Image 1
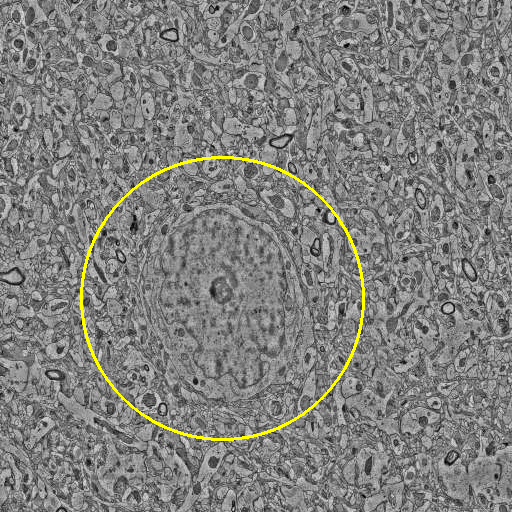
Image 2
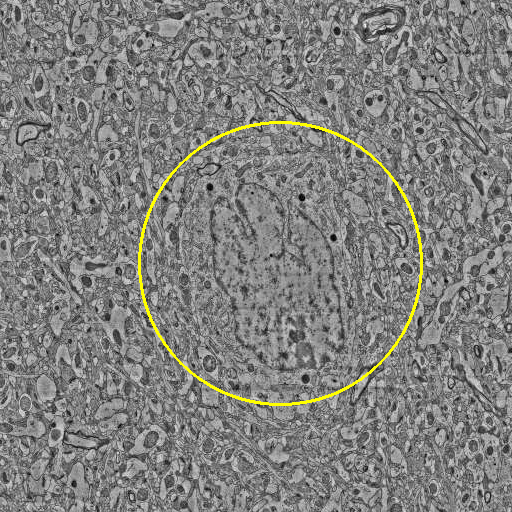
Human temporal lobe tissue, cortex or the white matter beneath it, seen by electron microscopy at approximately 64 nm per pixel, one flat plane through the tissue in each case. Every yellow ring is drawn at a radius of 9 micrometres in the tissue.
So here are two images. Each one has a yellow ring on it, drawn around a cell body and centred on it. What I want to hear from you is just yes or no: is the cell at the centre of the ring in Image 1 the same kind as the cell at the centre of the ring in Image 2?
yes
